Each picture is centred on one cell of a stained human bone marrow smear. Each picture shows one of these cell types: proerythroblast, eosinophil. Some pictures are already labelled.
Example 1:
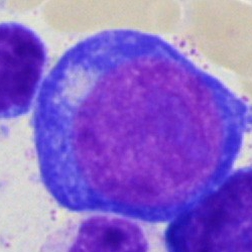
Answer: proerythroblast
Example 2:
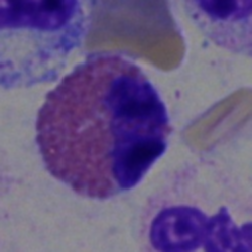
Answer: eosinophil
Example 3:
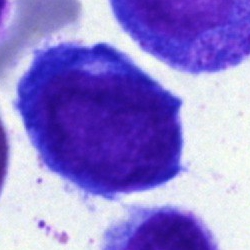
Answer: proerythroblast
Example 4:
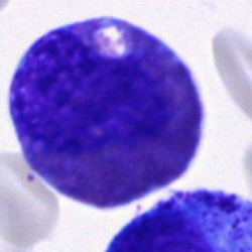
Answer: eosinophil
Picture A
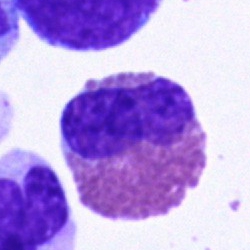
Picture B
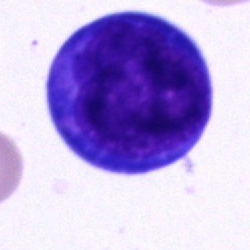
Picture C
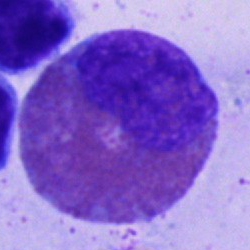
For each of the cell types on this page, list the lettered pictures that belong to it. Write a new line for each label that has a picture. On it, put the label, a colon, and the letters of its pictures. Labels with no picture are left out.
proerythroblast: B
eosinophil: A, C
